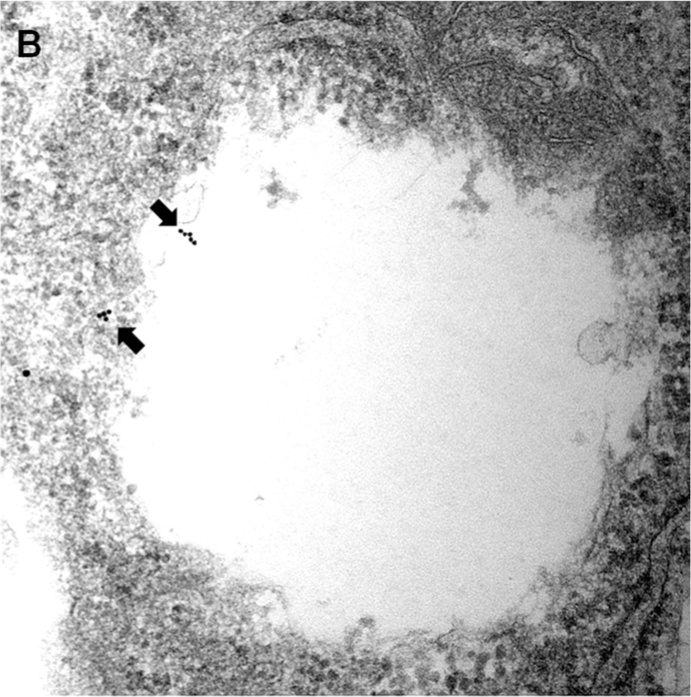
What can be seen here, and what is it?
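A large, round, electron-lucent vacuole fills most of the field and is rimmed by granular cytoplasm with membrane profiles toward the upper right. Only a couple of small clusters of black gold particles lie at the edge of the vacuole.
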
